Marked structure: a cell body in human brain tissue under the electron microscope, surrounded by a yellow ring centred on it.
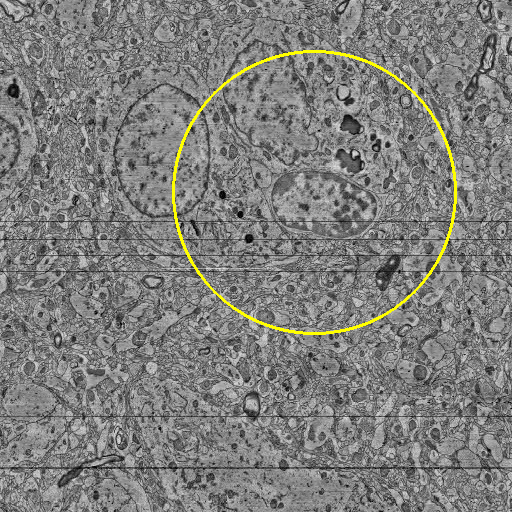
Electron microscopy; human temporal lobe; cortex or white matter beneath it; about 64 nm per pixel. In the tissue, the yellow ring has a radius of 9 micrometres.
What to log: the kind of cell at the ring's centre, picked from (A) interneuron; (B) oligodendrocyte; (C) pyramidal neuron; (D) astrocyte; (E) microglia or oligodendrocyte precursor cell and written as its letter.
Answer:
E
